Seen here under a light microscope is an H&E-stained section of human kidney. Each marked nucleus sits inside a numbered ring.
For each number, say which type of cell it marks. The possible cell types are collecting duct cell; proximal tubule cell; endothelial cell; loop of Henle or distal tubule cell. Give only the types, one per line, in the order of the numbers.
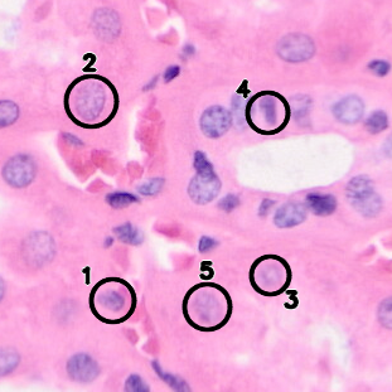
endothelial cell
proximal tubule cell
proximal tubule cell
collecting duct cell
proximal tubule cell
